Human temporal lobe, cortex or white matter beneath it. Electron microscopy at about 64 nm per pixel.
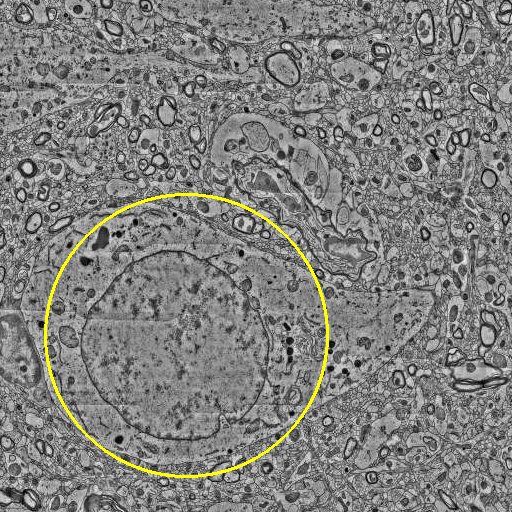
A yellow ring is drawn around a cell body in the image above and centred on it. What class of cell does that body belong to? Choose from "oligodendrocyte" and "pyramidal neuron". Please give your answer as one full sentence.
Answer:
The yellow ring above is centred on the cell body of a pyramidal neuron.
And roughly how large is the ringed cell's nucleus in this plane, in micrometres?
Approximately 12 micrometers across in this plane.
